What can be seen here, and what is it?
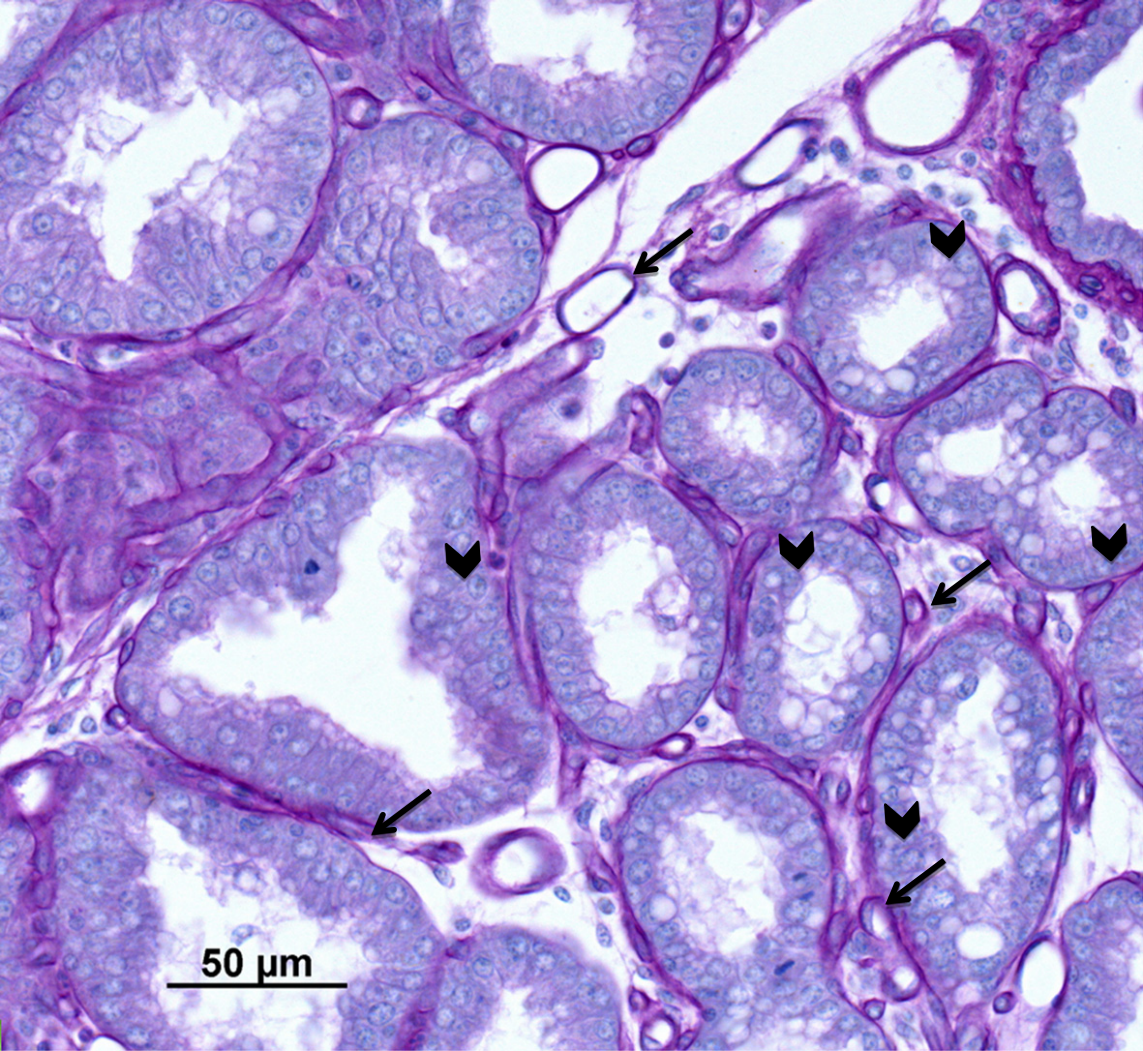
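Mammary gland tissue with many rounded glandular alveoli set in thin strands of loose connective tissue. Each alveolus is lined by a single layer of cuboidal to columnar epithelial cells with round, pale blue nuclei and pale bluish-violet cytoplasm. The cells surround an open, irregular lumen. Many cells hold clear vacuoles, often near the lumen, and the lumen holds wispy pale material. Small blood vessels with thin magenta walls and round or oval lumens lie in the connective tissue between the alveoli.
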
